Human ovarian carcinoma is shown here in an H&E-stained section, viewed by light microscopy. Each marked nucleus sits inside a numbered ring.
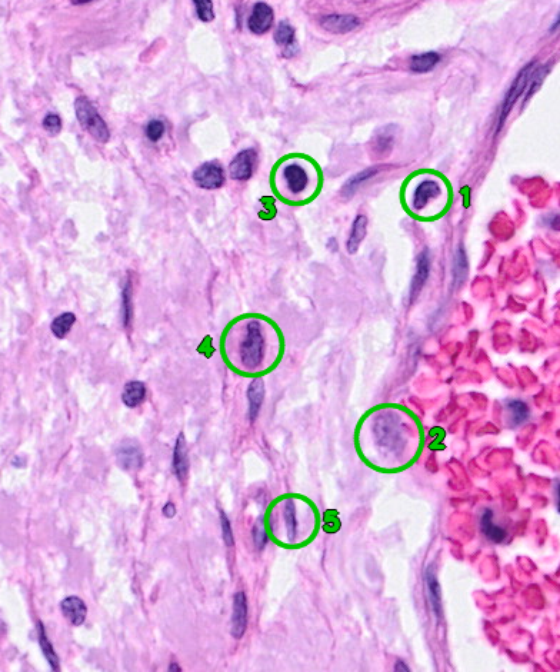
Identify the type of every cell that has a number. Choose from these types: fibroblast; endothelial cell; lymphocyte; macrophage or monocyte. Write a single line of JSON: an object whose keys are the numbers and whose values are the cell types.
{"1": "lymphocyte", "2": "endothelial cell", "3": "lymphocyte", "4": "macrophage or monocyte", "5": "fibroblast"}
